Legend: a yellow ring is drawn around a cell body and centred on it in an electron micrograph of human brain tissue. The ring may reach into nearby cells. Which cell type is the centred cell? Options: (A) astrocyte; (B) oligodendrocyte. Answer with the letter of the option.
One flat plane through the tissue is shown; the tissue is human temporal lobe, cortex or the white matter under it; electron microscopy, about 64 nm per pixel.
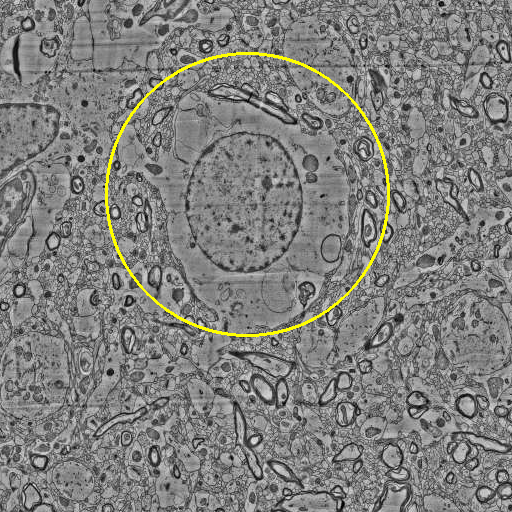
A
